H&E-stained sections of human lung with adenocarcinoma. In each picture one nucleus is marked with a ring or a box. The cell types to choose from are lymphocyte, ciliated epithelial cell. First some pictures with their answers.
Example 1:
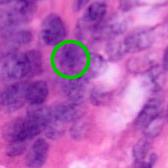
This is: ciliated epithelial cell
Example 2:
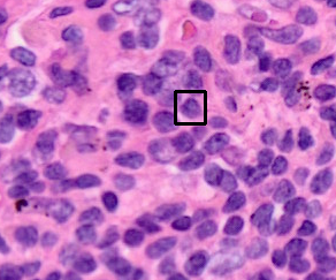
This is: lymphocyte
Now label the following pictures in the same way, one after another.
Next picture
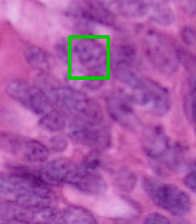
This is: ciliated epithelial cell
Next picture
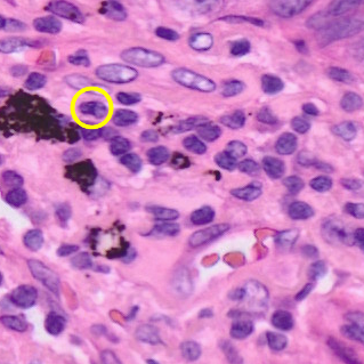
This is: lymphocyte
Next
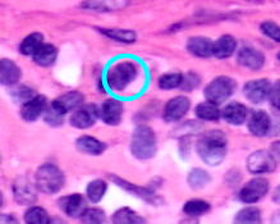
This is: lymphocyte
